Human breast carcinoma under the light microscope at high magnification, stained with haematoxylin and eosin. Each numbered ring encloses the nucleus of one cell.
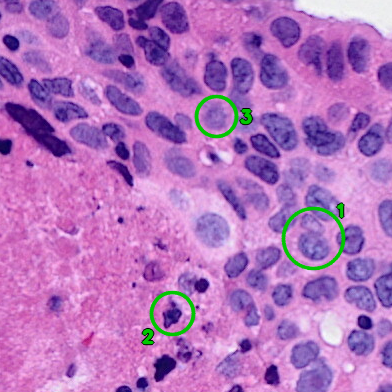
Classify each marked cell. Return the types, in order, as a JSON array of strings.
["carcinoma cell", "lymphocyte", "carcinoma cell"]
